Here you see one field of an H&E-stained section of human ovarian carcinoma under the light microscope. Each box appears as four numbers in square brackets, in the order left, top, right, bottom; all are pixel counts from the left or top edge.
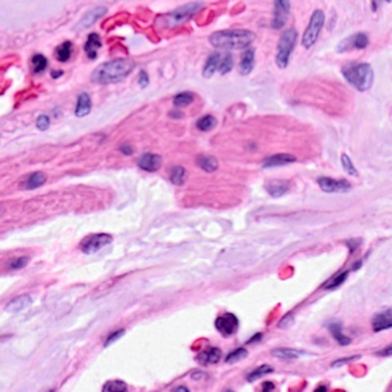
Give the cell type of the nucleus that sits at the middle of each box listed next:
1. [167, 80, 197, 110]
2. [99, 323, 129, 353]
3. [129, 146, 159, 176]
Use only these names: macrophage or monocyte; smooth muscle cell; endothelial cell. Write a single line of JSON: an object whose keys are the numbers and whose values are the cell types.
{"1": "smooth muscle cell", "2": "endothelial cell", "3": "smooth muscle cell"}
